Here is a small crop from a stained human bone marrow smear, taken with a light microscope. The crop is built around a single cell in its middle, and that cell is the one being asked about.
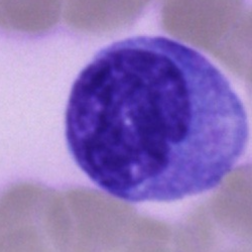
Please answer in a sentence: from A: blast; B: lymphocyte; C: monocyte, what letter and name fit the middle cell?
With the cell in the middle being a monocyte, option C is the correct choice.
